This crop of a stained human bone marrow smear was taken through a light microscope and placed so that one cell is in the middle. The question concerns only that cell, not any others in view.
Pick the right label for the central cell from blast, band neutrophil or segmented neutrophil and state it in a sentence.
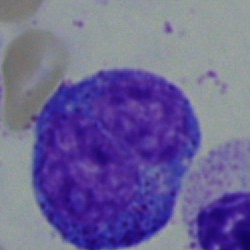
The crop's centre is taken up by a blast.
